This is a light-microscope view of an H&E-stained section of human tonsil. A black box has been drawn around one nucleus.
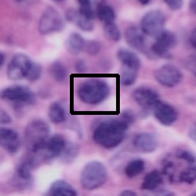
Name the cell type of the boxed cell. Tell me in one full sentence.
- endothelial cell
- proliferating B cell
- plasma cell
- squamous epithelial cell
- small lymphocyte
So far as cell type goes, the boxed cell is a proliferating B cell.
